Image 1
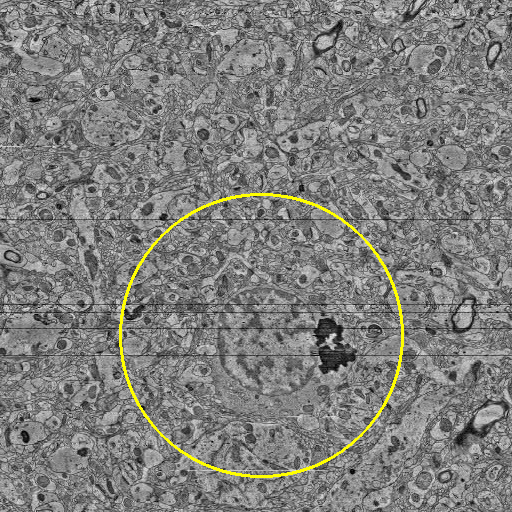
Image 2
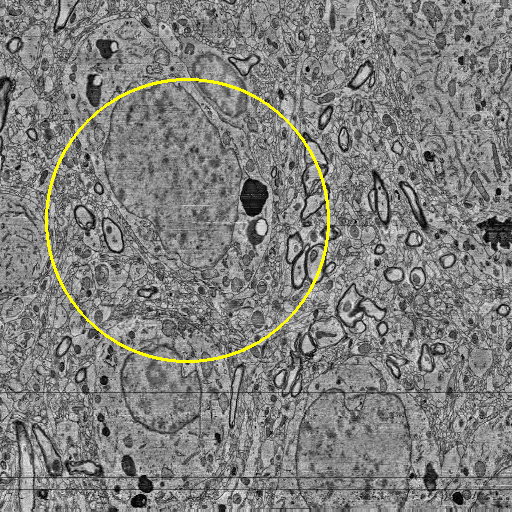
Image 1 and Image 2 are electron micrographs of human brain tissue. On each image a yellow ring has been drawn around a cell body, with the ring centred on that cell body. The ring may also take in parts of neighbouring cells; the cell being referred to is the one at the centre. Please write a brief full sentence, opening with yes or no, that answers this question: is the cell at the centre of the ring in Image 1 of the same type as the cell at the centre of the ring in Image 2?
No, the two cells are of two types.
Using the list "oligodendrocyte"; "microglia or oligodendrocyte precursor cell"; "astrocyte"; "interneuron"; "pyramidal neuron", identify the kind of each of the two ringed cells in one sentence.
The first is an oligodendrocyte and the second is an interneuron.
